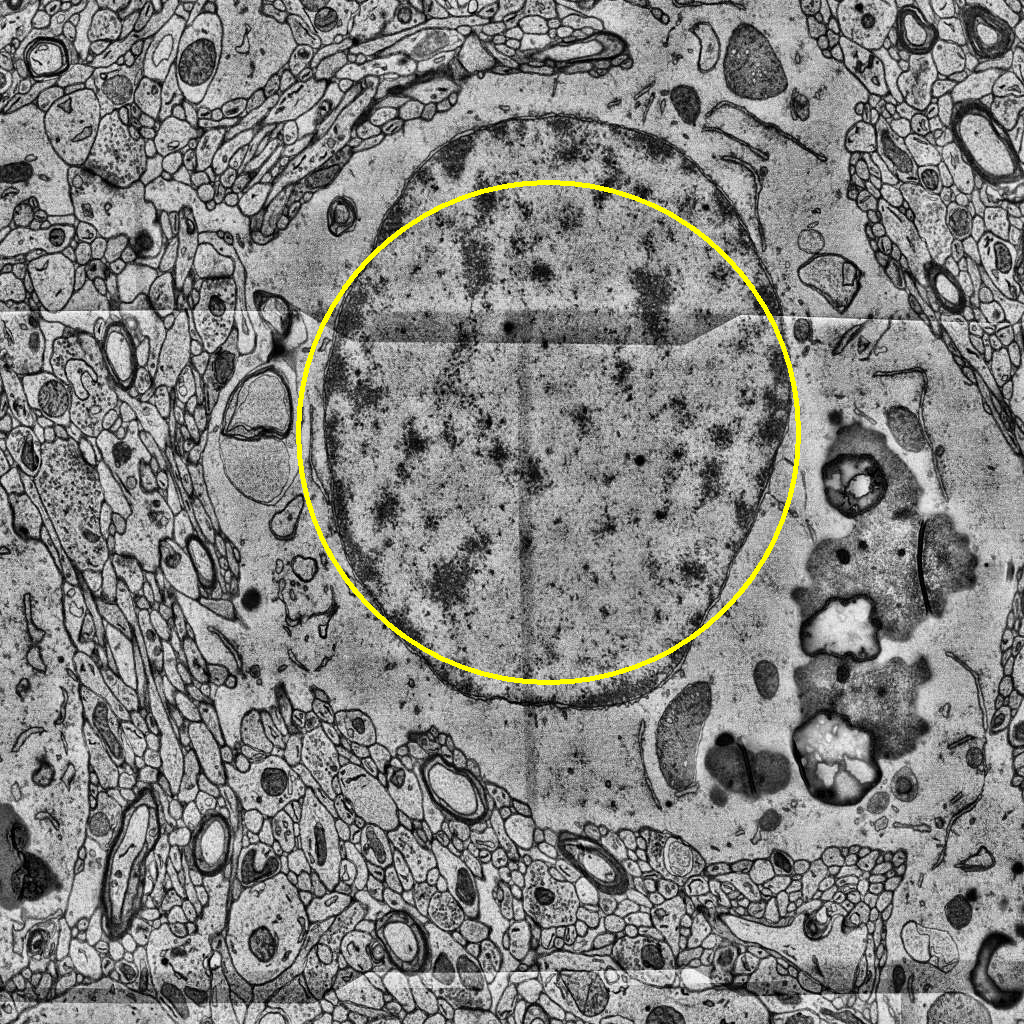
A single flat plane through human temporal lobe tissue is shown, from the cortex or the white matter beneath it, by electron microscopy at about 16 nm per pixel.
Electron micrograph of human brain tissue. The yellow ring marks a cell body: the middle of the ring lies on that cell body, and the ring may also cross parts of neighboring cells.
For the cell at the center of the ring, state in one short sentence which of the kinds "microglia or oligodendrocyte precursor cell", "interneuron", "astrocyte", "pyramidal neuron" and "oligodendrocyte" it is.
This ring's center lies on an astrocyte.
